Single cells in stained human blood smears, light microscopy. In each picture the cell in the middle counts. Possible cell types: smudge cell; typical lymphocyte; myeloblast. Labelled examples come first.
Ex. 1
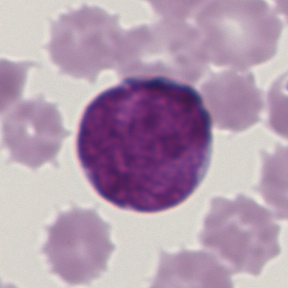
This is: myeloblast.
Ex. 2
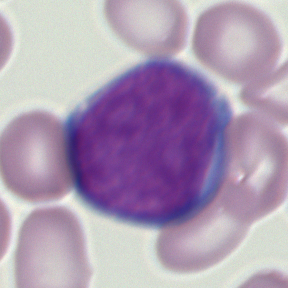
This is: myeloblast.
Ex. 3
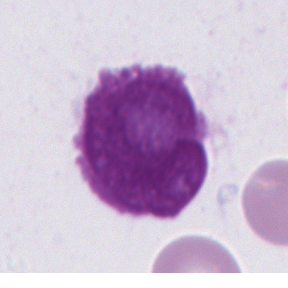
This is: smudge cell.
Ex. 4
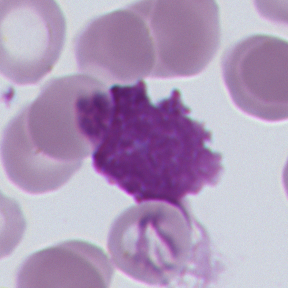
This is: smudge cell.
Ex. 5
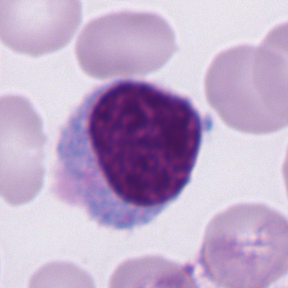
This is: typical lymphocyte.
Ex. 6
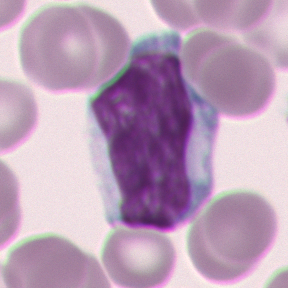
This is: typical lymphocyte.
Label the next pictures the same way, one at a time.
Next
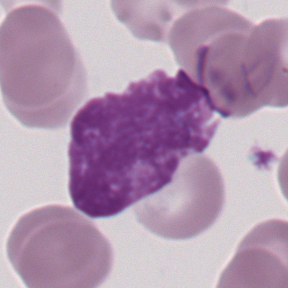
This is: smudge cell.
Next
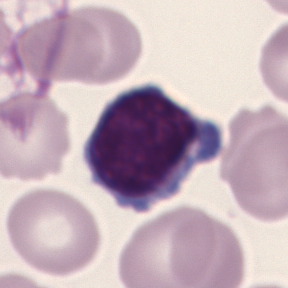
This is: typical lymphocyte.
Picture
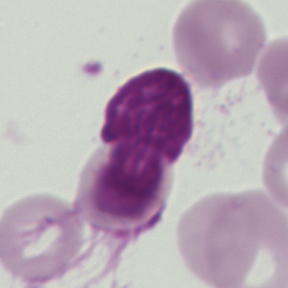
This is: smudge cell.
